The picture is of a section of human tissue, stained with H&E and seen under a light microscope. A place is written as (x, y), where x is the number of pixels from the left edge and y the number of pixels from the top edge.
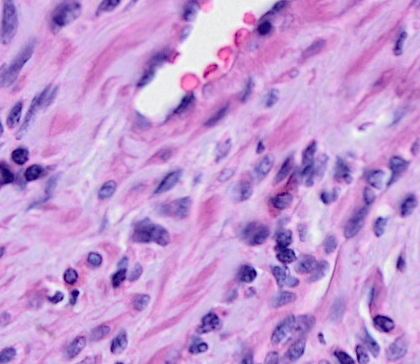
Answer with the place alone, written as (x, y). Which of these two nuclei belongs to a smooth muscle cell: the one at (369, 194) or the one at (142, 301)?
(142, 301)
